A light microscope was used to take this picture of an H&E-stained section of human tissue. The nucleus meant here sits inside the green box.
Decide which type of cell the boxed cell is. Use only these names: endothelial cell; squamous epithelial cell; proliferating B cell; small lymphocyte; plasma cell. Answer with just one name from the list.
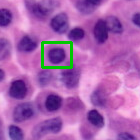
plasma cell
